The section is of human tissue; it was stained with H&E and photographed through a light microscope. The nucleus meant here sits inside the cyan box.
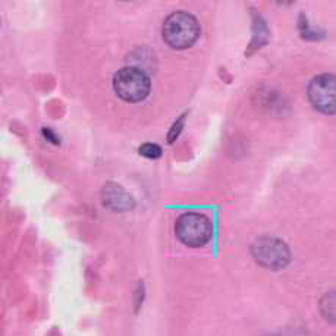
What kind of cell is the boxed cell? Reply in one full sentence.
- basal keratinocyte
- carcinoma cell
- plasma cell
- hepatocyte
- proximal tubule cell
The cell meant here is a proximal tubule cell.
